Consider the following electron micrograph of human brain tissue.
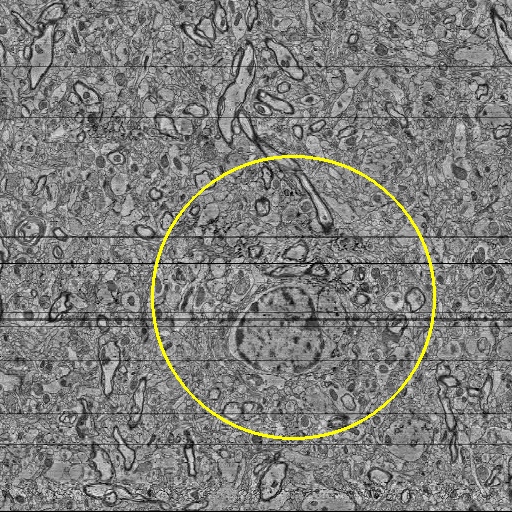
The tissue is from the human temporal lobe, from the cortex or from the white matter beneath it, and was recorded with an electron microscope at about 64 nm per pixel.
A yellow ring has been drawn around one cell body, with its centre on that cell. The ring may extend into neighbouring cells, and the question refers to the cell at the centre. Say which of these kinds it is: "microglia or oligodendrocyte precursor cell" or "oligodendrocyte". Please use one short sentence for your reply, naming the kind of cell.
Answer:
The centre of the ring falls on a microglial cell or oligodendrocyte precursor cell.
